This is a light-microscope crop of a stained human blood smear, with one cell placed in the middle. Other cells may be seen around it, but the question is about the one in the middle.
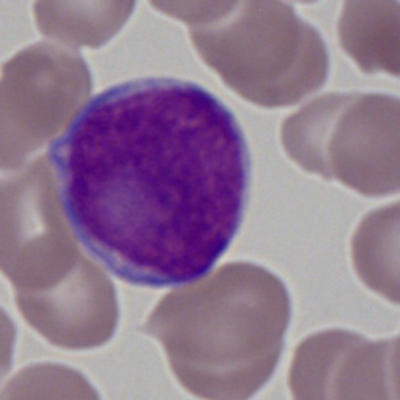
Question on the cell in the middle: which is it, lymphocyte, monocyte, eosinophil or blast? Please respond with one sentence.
Classification of the middle cell gives a blast.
